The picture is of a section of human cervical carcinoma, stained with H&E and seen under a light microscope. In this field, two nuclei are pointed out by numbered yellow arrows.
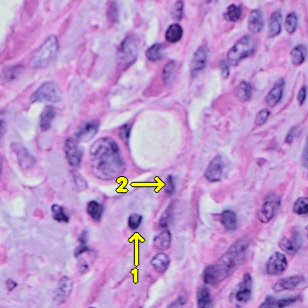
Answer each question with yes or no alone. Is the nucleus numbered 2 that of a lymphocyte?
no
